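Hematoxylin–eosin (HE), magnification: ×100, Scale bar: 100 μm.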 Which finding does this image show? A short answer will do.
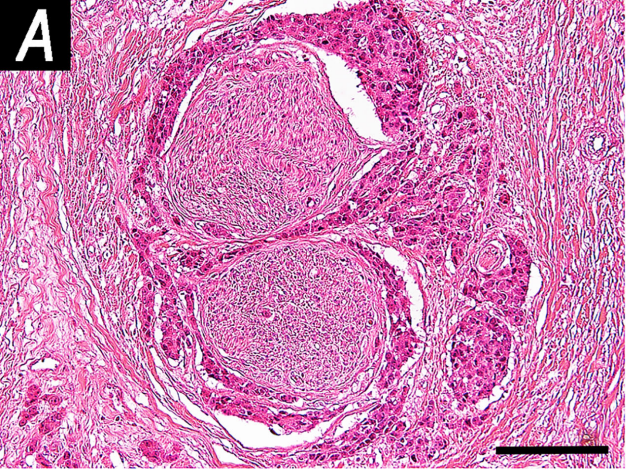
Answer: Perineural invasion.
